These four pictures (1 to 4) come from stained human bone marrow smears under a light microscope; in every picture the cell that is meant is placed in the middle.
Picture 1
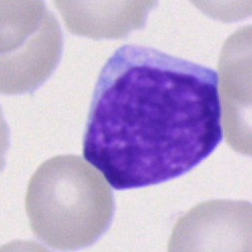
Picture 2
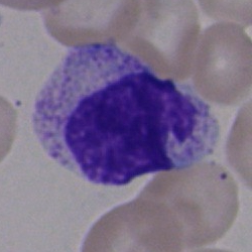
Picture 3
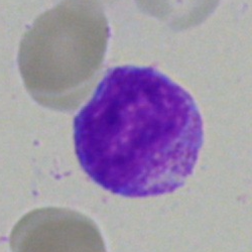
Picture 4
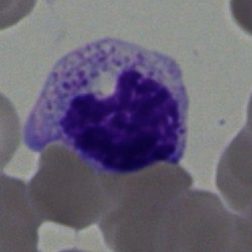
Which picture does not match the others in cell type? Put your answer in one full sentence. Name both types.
All pictures except 1 show myelocytes; picture 1 shows a blast.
